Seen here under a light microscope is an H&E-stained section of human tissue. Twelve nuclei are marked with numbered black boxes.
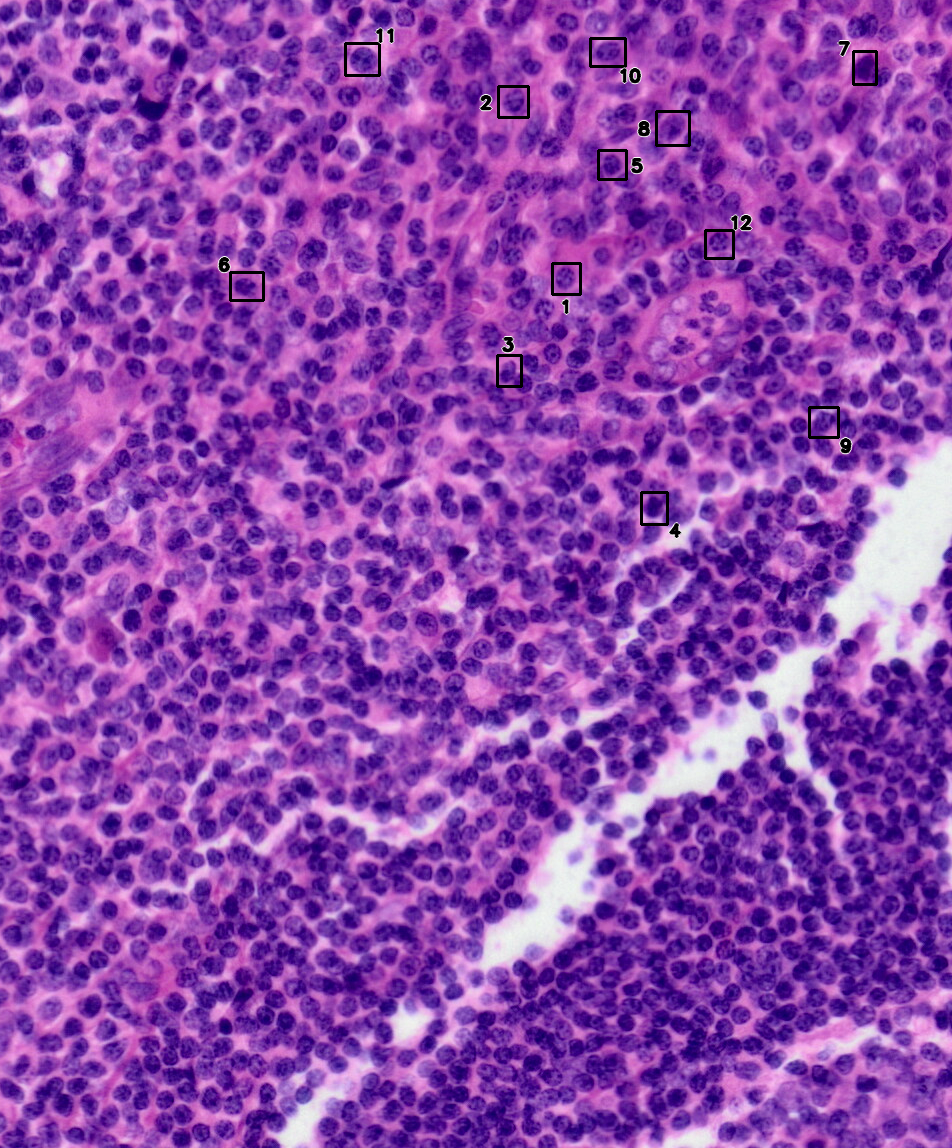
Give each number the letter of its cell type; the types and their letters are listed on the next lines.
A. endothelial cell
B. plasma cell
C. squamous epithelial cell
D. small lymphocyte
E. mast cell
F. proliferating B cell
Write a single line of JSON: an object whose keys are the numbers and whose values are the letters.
{"1": "B", "2": "B", "3": "D", "4": "D", "5": "B", "6": "B", "7": "C", "8": "C", "9": "D", "10": "B", "11": "F", "12": "B"}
